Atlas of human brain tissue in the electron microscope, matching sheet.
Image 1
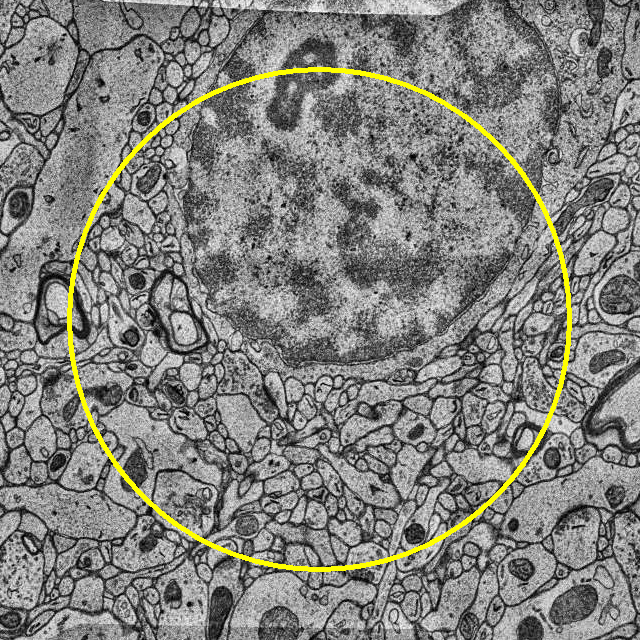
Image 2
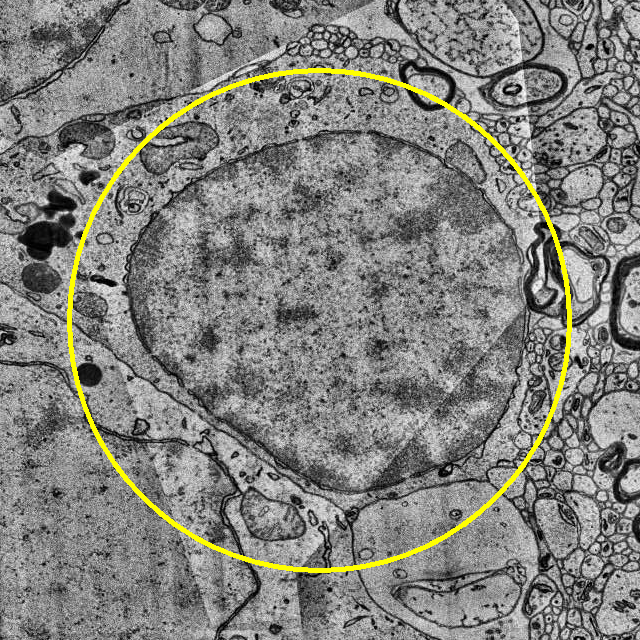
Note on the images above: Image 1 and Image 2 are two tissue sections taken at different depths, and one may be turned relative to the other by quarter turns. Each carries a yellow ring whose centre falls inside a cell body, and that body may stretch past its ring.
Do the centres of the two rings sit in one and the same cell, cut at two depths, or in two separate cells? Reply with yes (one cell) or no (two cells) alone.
no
